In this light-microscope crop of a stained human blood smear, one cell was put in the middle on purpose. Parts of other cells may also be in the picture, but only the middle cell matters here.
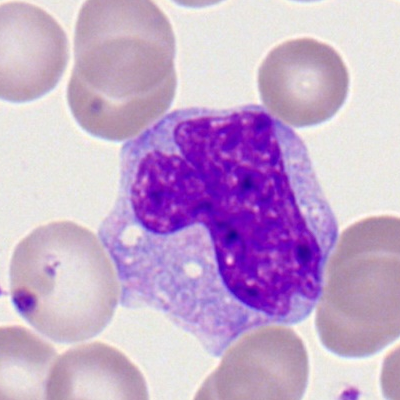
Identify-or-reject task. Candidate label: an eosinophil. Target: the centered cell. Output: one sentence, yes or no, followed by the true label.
No, the middle cell is actually a monocyte rather than an eosinophil.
